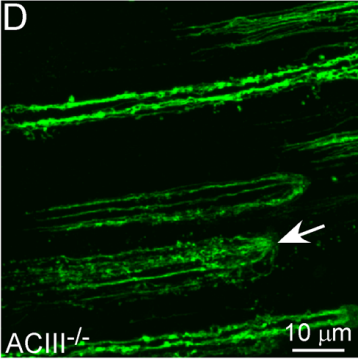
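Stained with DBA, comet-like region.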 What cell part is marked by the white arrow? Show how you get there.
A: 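The arrow points to the rounded head of an elongated bundle. Long parallel thin processes trail from this head in one direction.
Answer: dendritic knobs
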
